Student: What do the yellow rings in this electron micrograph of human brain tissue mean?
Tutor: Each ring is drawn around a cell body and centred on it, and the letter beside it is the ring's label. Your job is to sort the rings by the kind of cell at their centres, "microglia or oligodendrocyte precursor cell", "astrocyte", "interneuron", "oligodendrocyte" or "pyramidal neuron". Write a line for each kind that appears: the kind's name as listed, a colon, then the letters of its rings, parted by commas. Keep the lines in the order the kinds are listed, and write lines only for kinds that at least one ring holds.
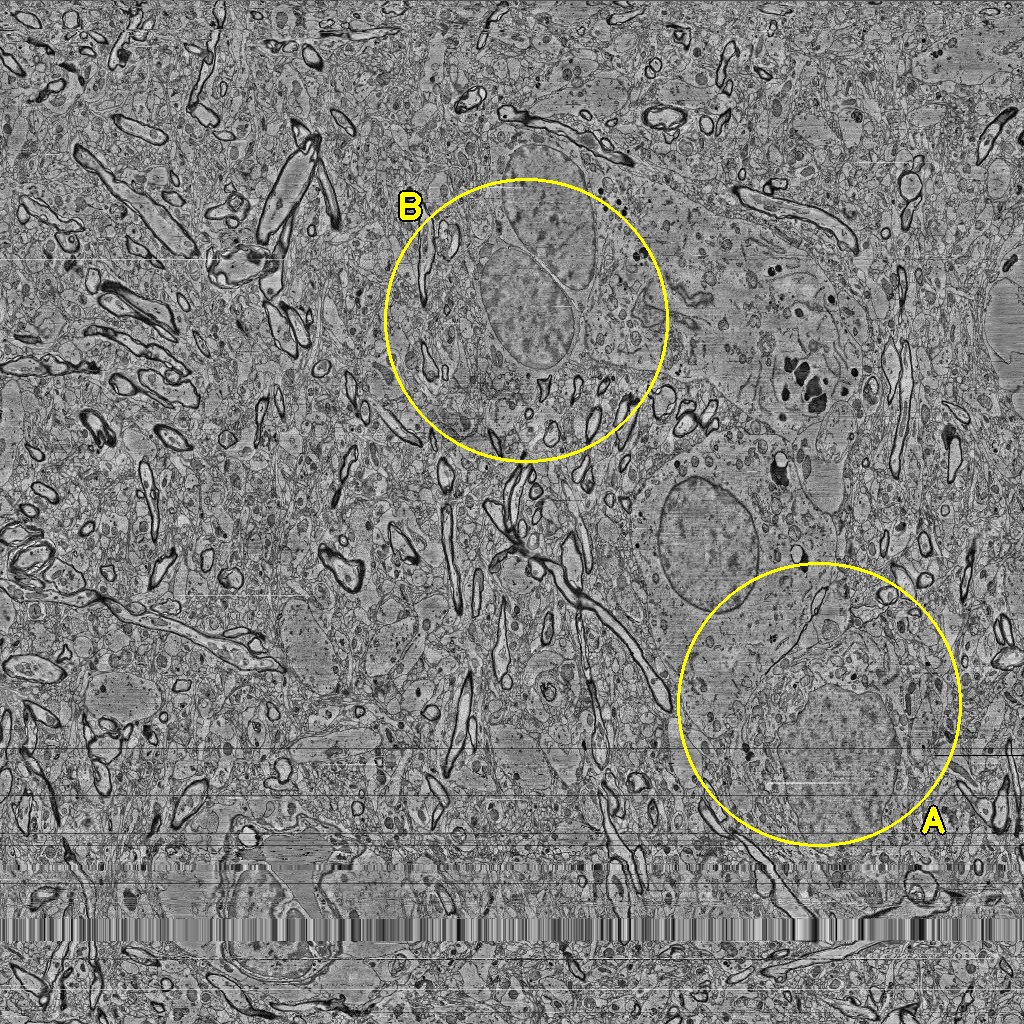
interneuron: A
oligodendrocyte: B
